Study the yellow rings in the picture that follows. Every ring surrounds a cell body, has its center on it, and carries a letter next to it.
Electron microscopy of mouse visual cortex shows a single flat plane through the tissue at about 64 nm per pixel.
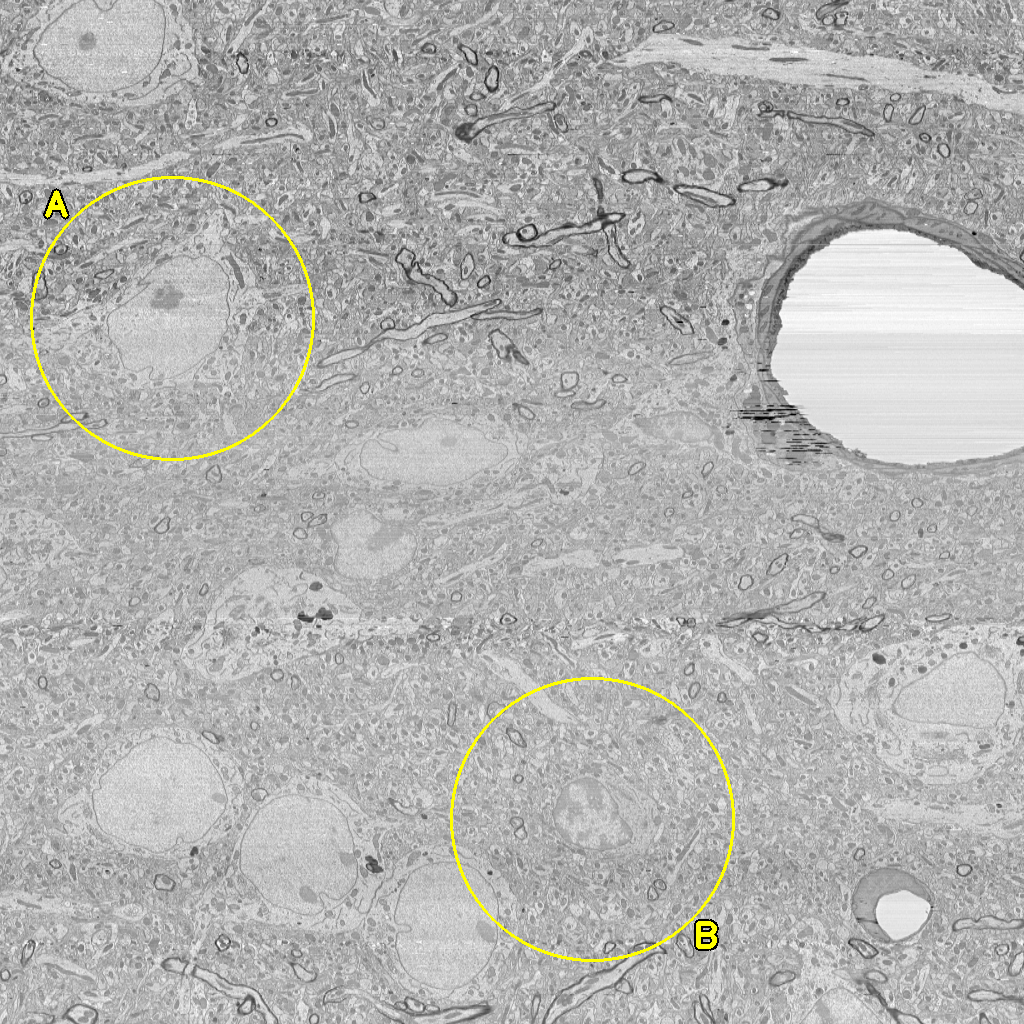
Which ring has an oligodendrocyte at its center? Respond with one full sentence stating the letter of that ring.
The ring centered on the cell asked for carries the letter B.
